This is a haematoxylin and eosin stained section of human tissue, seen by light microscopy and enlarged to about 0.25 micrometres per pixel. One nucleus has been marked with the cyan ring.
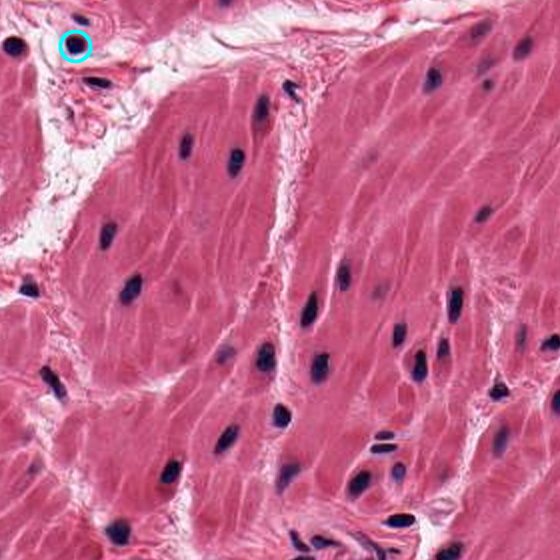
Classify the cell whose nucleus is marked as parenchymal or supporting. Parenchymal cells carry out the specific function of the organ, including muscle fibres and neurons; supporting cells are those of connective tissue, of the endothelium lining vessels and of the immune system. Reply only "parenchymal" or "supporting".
supporting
